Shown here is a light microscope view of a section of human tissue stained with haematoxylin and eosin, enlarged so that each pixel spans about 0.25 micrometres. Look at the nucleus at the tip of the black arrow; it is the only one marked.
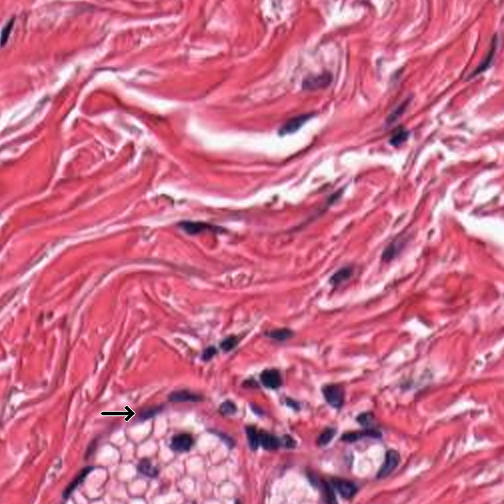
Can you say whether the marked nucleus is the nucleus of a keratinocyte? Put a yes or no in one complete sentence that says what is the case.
No, the marked nucleus is not housed in a keratinocyte but in a supporting cell.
